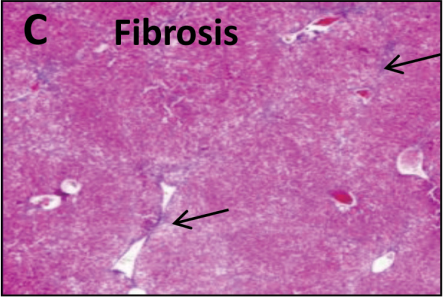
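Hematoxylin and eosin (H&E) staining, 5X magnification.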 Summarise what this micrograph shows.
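This low-power view of liver shows pink-staining liver tissue with a few small lymphocyte infiltrations. The tissue is mostly uniform pink, with scattered white vessel openings, some containing red-staining blood. Small purple-blue patches lie in places near the vessels.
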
